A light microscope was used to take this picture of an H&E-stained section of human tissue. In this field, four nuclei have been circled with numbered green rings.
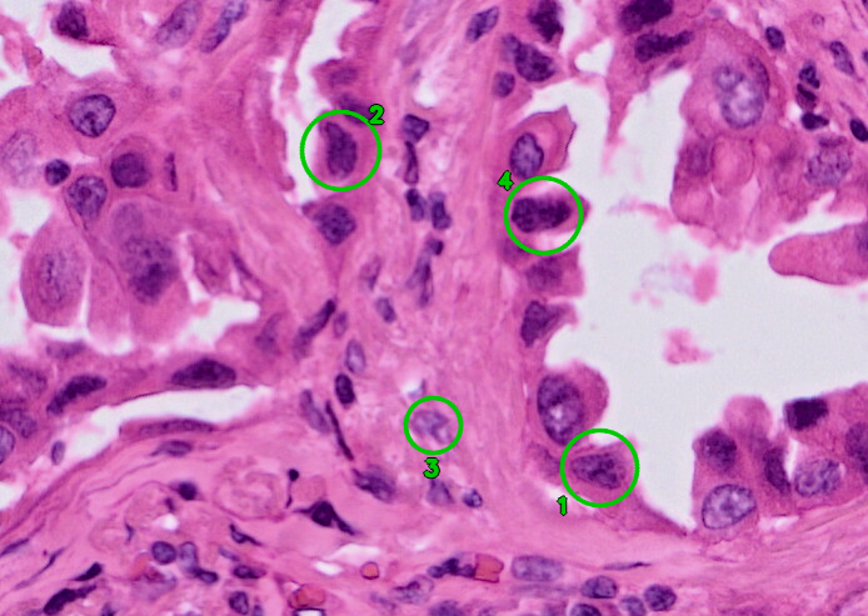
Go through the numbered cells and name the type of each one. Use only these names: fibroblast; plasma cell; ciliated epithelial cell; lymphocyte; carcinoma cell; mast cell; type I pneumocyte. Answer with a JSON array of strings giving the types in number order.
["carcinoma cell", "carcinoma cell", "fibroblast", "carcinoma cell"]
